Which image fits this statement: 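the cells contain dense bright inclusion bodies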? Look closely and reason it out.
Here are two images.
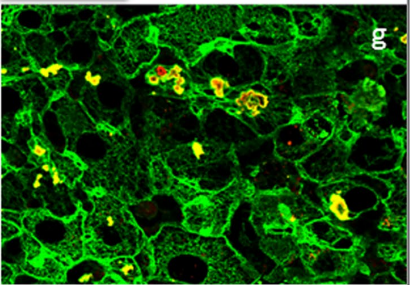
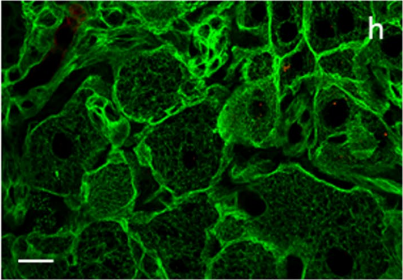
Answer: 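The first image. Second image: green network outlines the cells and no yellow or red clumps are present. First image: many bright yellow and red clumps lie within the cells.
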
